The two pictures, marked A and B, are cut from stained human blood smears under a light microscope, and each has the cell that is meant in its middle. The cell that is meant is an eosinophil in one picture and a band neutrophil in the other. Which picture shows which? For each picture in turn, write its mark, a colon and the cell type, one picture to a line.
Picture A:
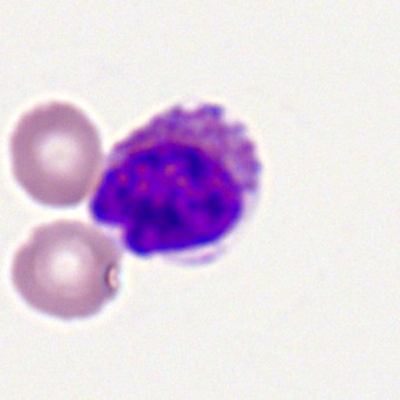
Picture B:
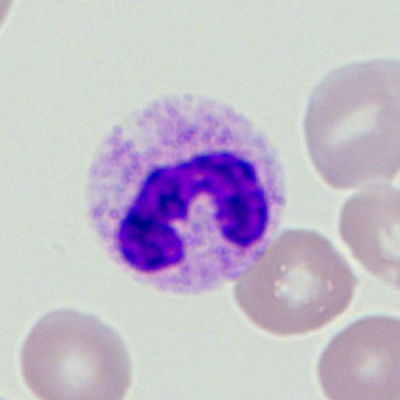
A: eosinophil
B: band neutrophil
